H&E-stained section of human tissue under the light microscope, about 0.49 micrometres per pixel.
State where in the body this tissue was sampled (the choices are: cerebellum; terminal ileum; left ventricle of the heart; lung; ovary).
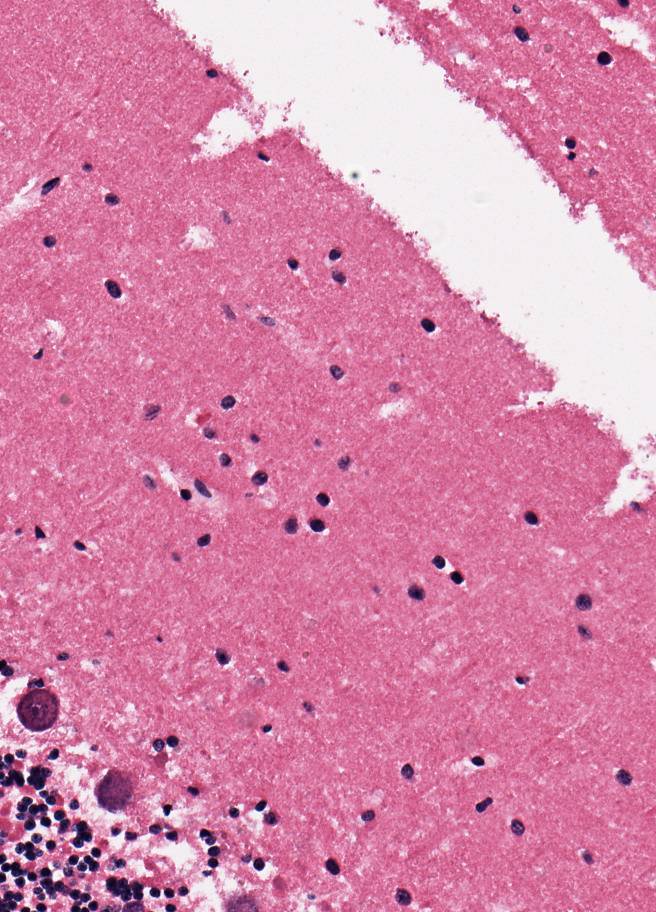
cerebellum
